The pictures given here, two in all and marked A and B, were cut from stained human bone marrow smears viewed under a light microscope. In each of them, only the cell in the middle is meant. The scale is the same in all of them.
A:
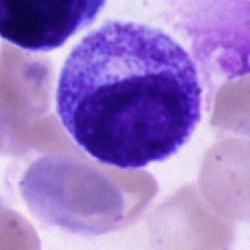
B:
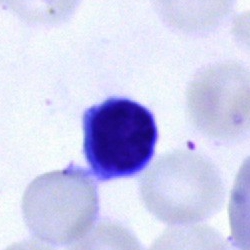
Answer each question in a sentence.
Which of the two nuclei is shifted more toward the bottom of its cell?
In crop A the nucleus is shifted more toward the bottom.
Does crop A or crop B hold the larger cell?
It is the cell in crop A, about 3 times as large in area as the cell in crop B.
